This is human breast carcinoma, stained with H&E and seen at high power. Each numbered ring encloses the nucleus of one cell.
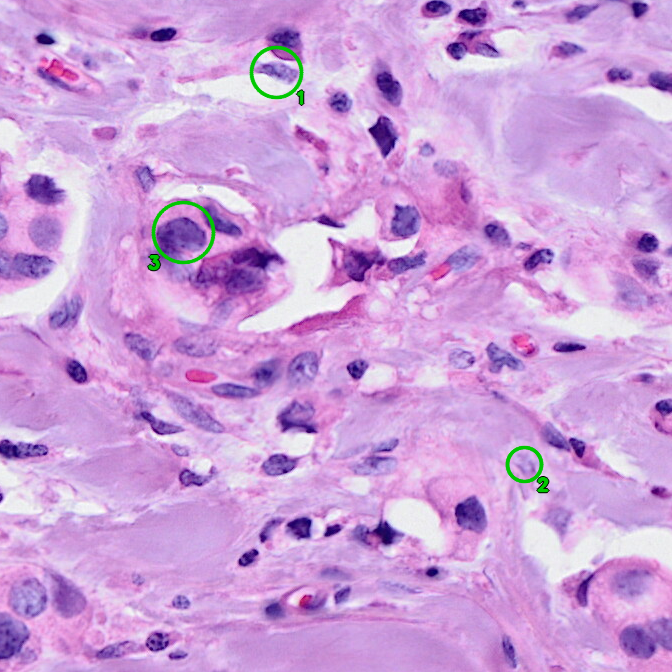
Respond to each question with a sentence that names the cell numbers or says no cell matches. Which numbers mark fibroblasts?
Cells 1 and 2 in the section are typed as fibroblasts.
